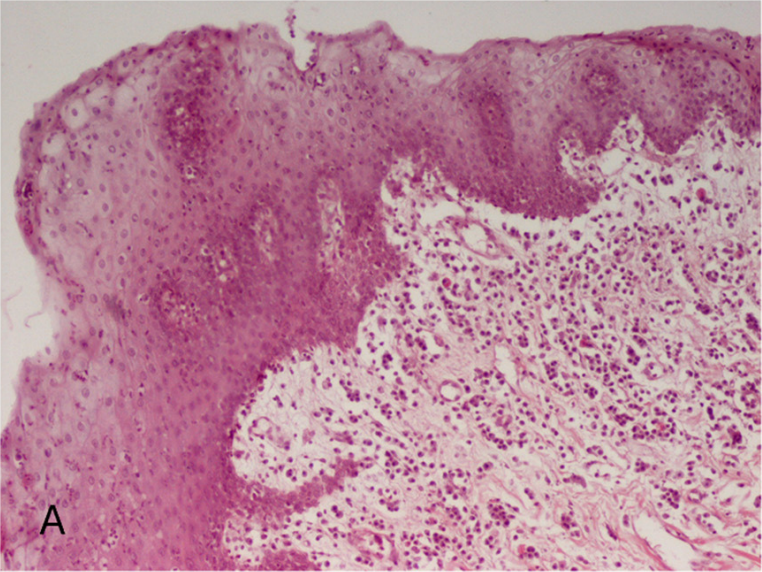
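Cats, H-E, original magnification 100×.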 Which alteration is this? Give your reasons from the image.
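The stratified squamous epithelium is very thick. Broad, elongated rete ridges extend down into the underlying stroma. That points to this answer: Hyperplasia of squamous epithelium.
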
